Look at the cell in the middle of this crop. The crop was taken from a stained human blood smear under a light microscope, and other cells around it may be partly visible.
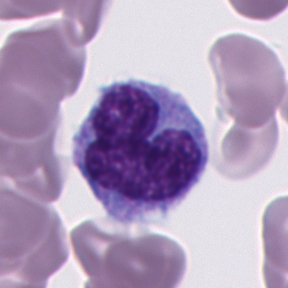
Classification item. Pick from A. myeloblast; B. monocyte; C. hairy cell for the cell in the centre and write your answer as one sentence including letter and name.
Option B is the correct selection, for the cell at the centre is a monocyte.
